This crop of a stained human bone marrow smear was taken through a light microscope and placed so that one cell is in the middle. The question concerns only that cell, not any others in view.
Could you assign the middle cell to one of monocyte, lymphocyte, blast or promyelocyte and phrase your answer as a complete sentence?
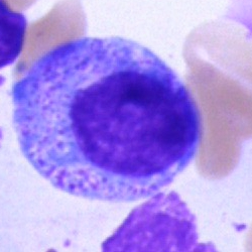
In the crop, the cell of interest at the centre is a promyelocyte.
